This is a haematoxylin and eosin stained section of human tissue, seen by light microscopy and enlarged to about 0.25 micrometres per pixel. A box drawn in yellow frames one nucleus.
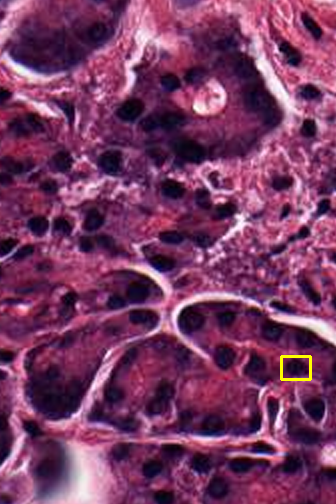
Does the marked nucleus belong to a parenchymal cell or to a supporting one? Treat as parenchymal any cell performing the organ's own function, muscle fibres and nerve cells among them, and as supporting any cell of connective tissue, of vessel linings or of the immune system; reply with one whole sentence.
The marked nucleus lies within a parenchymal cell, which is a pancreatic acinar cell.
